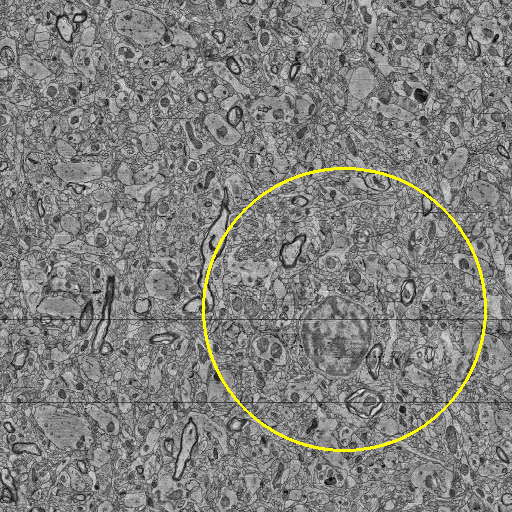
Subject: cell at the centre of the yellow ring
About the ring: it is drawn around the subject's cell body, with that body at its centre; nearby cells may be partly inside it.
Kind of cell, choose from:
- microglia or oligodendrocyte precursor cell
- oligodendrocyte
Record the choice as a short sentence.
The subject cell is an oligodendrocyte.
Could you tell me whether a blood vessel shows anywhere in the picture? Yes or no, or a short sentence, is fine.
No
